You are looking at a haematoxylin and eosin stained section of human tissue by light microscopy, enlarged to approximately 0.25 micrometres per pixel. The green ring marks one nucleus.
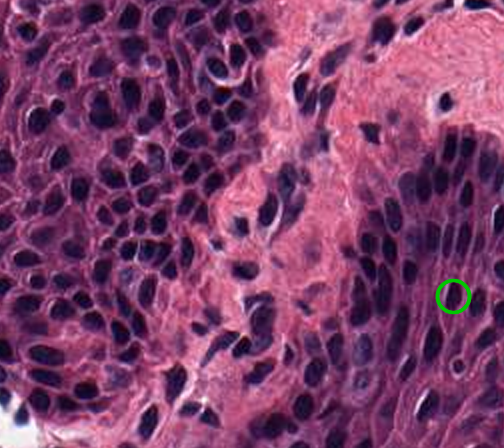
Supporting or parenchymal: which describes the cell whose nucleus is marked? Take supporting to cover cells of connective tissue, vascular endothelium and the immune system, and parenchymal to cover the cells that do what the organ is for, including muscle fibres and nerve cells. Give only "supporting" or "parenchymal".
parenchymal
